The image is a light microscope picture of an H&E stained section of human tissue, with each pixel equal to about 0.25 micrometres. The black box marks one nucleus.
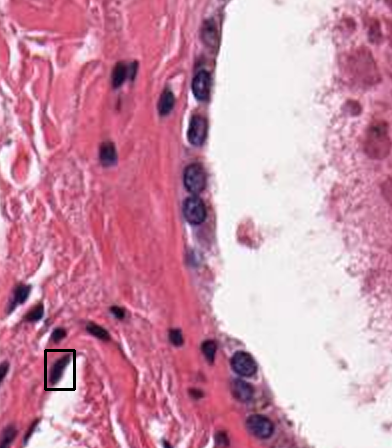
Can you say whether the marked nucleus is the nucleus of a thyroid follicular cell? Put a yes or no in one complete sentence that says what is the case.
No, that the marked nucleus belongs to a thyroid follicular cell does not hold; it belongs to a supporting cell.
